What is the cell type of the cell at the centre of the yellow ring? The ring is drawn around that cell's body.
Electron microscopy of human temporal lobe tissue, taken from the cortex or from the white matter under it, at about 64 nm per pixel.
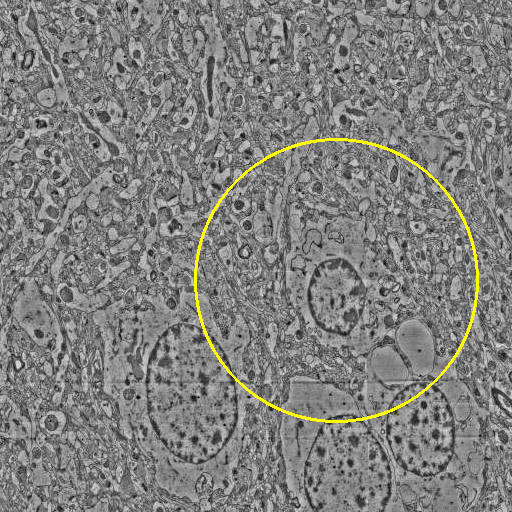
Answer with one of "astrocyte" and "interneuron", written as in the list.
astrocyte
